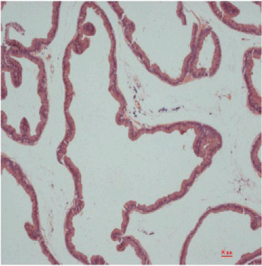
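This is prostate tissue in which large, irregular acini are lined by a thin layer of epithelium stained purple, with a few small folds. The lumens are wide and mostly empty, and only thin strands of stroma separate neighbouring acini.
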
